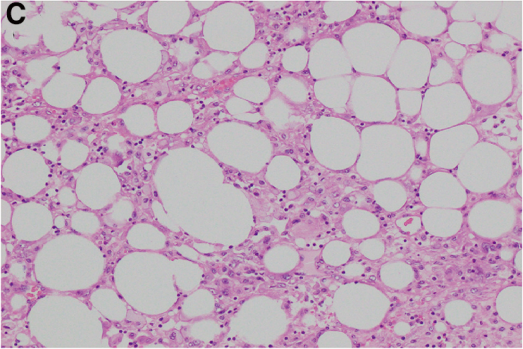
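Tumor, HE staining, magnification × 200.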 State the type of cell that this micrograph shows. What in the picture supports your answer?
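Many large round empty clear spaces of varying size. Thin pink rims between the clear spaces.
Answer: adipocytes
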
